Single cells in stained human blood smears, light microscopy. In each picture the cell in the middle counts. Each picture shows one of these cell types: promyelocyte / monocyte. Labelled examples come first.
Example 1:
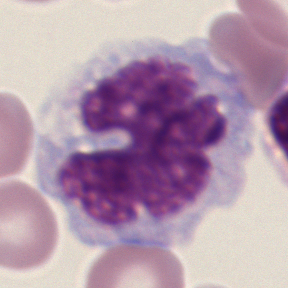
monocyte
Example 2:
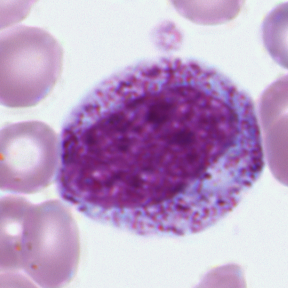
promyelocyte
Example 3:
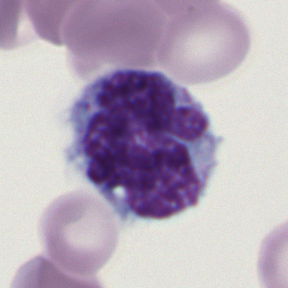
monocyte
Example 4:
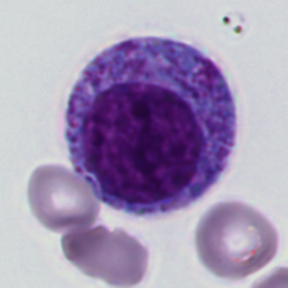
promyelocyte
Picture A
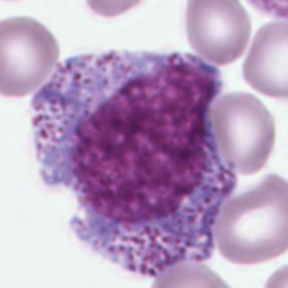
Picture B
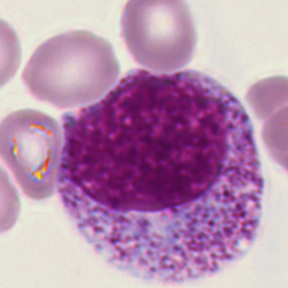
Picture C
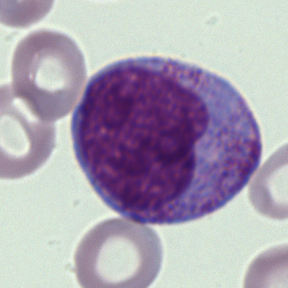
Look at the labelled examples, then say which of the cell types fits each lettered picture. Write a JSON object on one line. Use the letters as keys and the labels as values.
{"A": "promyelocyte", "B": "promyelocyte", "C": "promyelocyte"}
